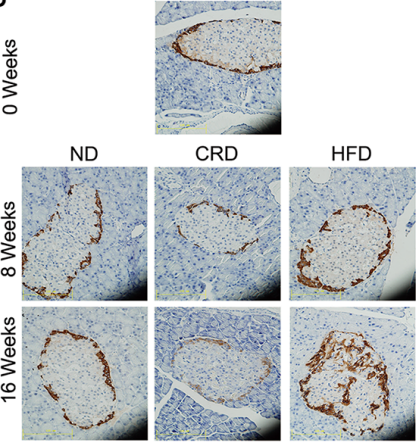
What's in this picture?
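These are pancreatic sections, each showing one oval endocrine islet surrounded by exocrine acinar tissue with blue nuclei. The central core of pale cells is largely unstained. In some islets the brown rim is broader, and in one micrograph brown-stained cells also extend inward in irregular strands and clusters.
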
